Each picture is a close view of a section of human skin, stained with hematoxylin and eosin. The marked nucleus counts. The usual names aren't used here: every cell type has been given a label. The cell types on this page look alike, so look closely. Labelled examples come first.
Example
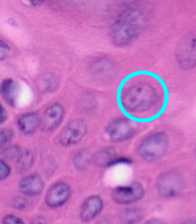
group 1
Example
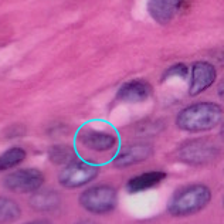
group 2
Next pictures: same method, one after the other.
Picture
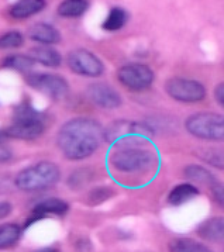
group 2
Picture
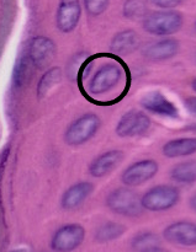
group 1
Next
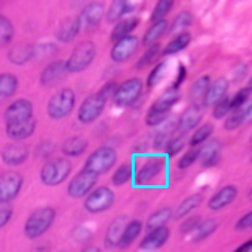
group 2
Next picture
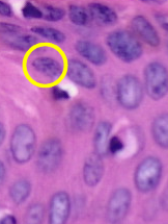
group 2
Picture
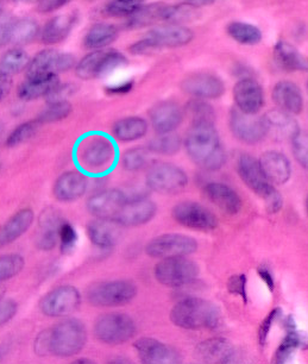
group 2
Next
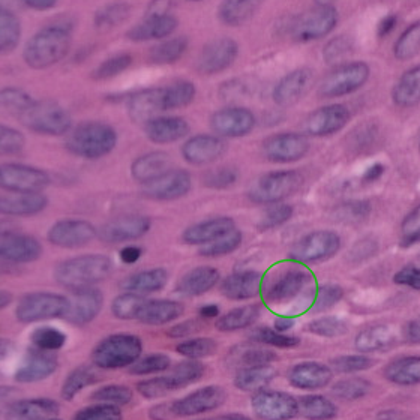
group 2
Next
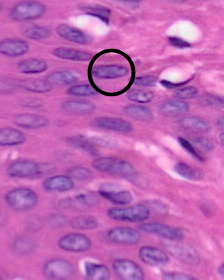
group 2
